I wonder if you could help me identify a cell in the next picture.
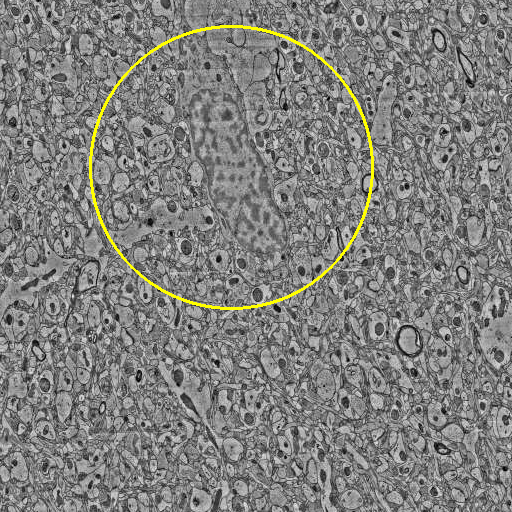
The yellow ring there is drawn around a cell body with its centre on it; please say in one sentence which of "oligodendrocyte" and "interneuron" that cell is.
The yellow ring is centred on an oligodendrocyte.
